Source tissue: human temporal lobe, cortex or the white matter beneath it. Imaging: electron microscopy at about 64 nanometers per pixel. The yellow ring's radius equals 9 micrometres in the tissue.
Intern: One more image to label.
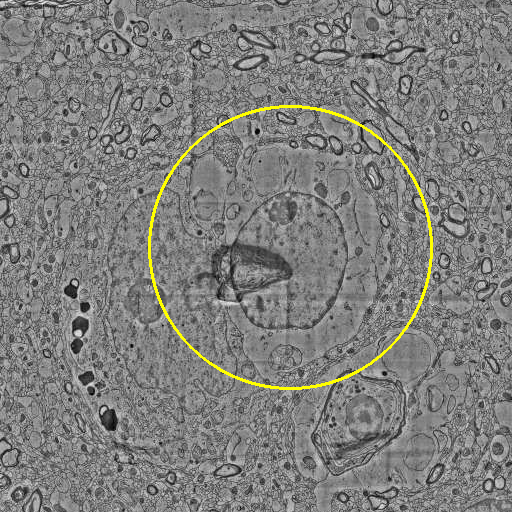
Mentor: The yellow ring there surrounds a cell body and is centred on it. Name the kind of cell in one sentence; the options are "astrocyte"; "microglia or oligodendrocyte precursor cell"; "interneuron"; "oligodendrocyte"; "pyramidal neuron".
The ring marks the cell body of an astrocyte.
